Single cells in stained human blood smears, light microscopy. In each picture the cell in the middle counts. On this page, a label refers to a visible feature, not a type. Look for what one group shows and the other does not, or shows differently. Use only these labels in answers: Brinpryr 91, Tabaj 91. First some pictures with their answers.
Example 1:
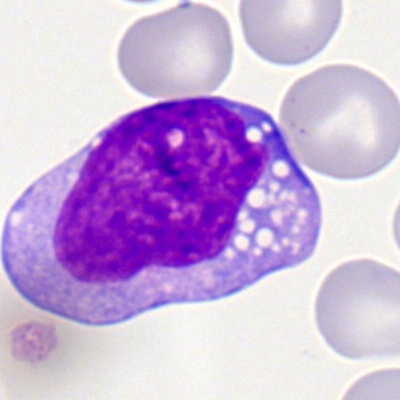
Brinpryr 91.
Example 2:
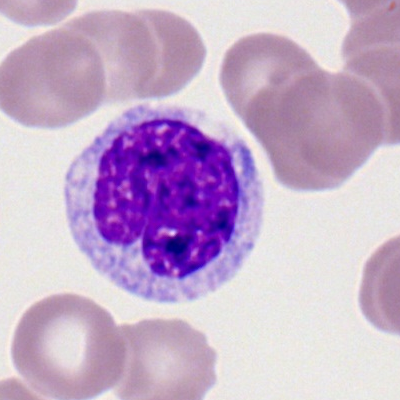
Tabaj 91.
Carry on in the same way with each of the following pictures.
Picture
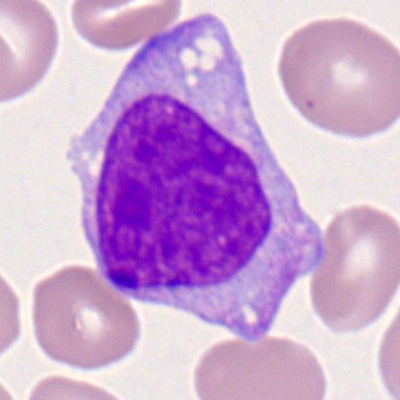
Brinpryr 91.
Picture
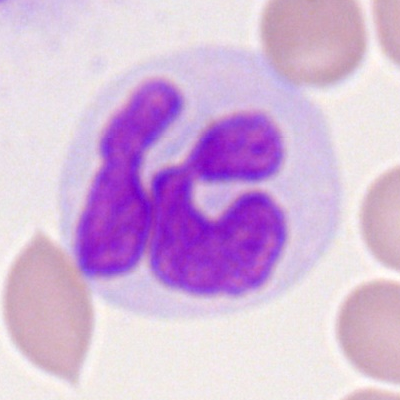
Tabaj 91.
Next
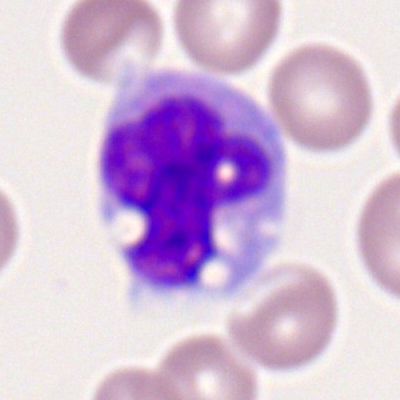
Brinpryr 91.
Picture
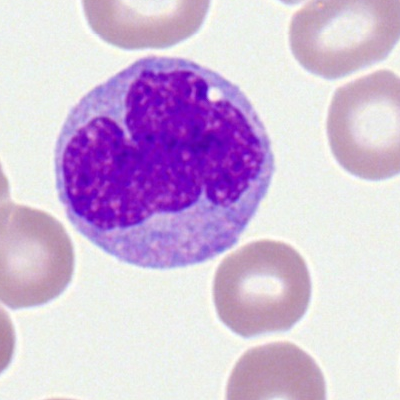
Brinpryr 91.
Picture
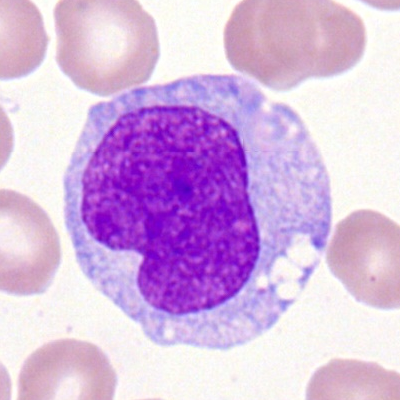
Brinpryr 91.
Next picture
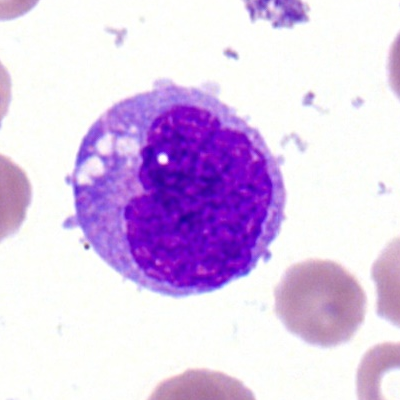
Brinpryr 91.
